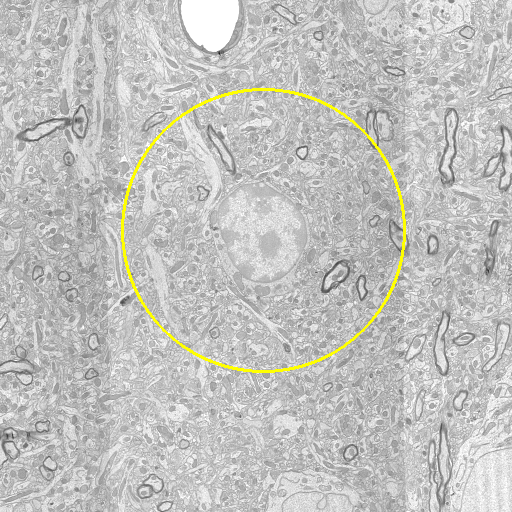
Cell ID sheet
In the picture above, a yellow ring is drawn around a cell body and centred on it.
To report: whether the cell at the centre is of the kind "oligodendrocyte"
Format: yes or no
yes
